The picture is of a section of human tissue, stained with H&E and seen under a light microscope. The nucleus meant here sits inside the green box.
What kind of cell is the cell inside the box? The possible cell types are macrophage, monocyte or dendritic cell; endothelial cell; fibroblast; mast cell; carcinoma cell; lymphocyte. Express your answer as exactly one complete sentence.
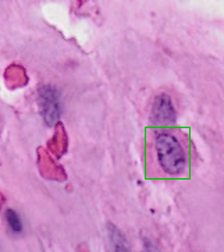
As a matter of cell type, the cell inside the box is a mast cell.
